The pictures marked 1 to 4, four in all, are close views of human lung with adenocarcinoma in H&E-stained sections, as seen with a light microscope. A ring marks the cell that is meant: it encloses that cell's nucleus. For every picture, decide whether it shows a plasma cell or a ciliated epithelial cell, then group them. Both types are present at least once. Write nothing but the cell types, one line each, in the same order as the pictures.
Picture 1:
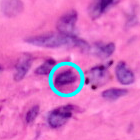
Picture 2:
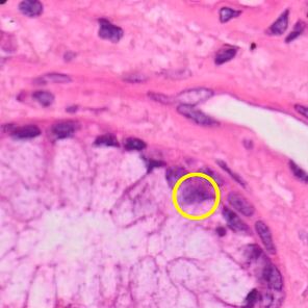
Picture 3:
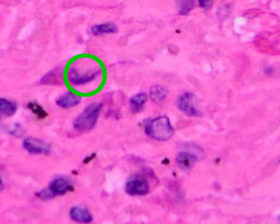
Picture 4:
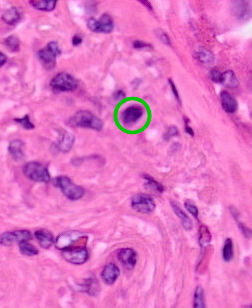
plasma cell
ciliated epithelial cell
plasma cell
plasma cell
